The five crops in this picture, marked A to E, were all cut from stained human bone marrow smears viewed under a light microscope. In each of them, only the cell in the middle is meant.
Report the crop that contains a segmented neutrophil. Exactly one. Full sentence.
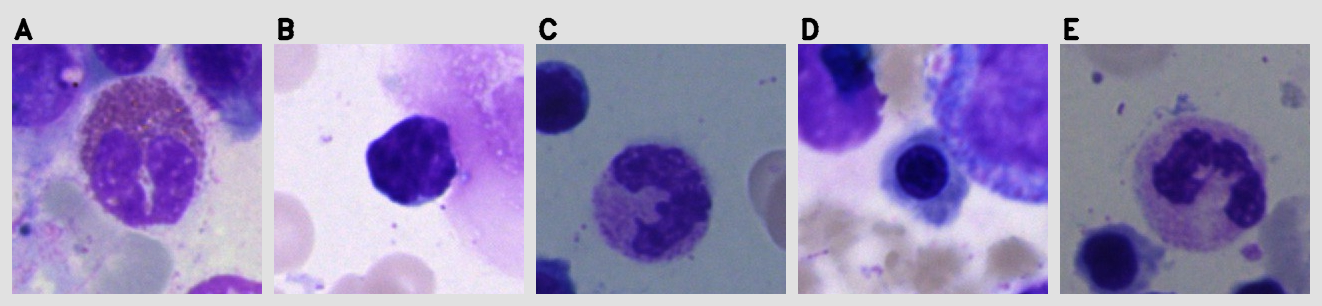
Crop E, and no other, shows a segmented neutrophil.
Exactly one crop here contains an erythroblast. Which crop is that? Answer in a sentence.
Only in crop D is an erythroblast shown.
